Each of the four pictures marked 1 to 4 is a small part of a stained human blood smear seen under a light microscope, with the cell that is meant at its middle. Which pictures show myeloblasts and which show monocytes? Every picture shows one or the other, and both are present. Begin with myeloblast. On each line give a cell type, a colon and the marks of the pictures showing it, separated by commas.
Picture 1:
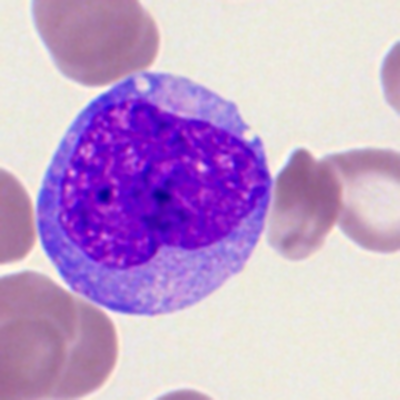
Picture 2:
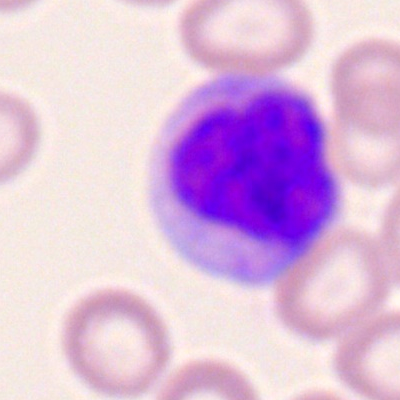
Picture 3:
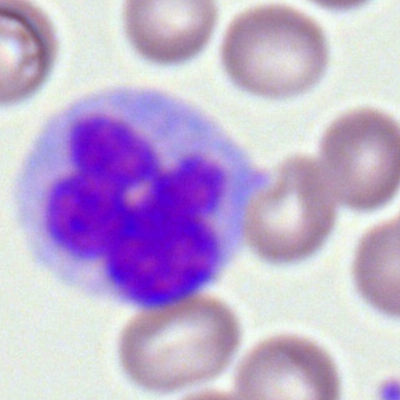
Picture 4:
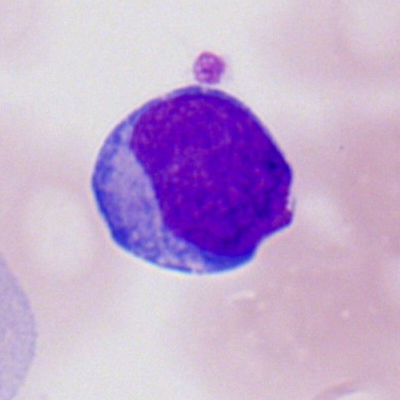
myeloblast: 4
monocyte: 1, 2, 3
